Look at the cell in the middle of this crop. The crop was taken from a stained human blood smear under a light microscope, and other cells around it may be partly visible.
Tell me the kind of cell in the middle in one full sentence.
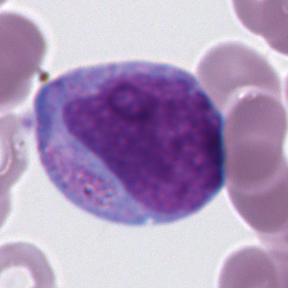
The cell that lies at the centre of the crop is an atypical promyelocyte.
